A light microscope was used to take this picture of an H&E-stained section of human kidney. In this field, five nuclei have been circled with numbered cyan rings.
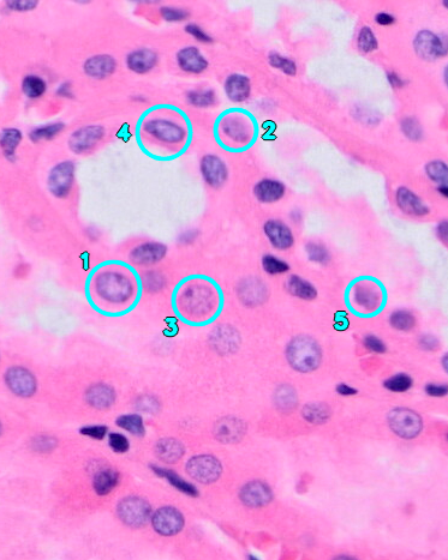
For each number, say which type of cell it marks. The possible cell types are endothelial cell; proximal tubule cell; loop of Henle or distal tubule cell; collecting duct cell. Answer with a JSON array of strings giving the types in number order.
["proximal tubule cell", "loop of Henle or distal tubule cell", "proximal tubule cell", "loop of Henle or distal tubule cell", "loop of Henle or distal tubule cell"]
